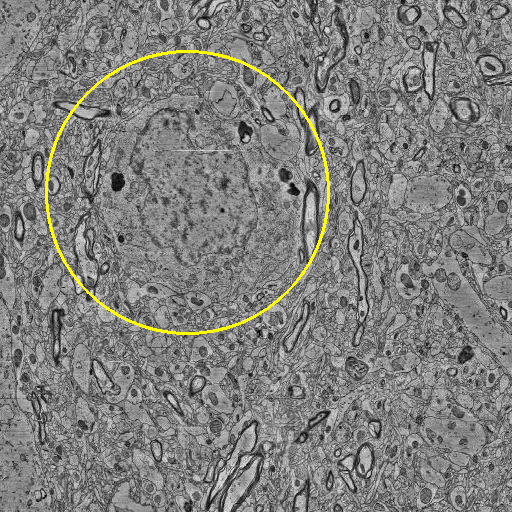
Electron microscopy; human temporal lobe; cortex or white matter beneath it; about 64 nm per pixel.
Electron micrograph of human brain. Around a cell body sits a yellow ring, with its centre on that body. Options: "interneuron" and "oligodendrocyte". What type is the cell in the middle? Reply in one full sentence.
The cell sitting at the centre of the yellow ring is an interneuron.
